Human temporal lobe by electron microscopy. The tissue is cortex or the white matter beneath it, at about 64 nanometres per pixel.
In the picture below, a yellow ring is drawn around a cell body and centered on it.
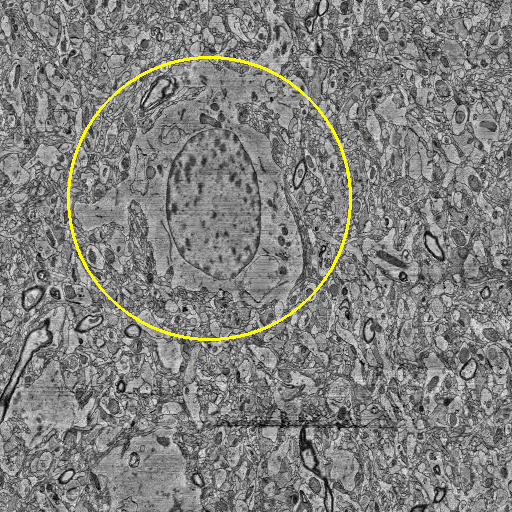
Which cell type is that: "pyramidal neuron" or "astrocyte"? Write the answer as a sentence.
The cell centered in the ring is an astrocyte.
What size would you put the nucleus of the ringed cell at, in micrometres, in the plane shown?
Roughly 10 by 6 micrometers, clearly longer than it is wide in this plane.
